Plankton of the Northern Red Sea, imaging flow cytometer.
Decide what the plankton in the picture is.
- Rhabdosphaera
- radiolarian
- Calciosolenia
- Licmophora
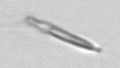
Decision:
Calciosolenia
